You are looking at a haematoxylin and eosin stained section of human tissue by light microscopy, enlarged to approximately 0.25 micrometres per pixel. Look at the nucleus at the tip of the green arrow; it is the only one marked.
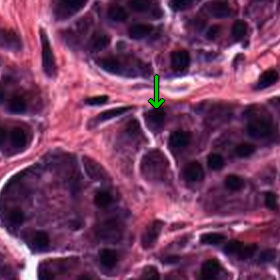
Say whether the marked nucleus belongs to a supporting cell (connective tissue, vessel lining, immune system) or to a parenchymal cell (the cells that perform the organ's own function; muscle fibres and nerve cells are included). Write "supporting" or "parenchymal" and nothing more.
parenchymal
